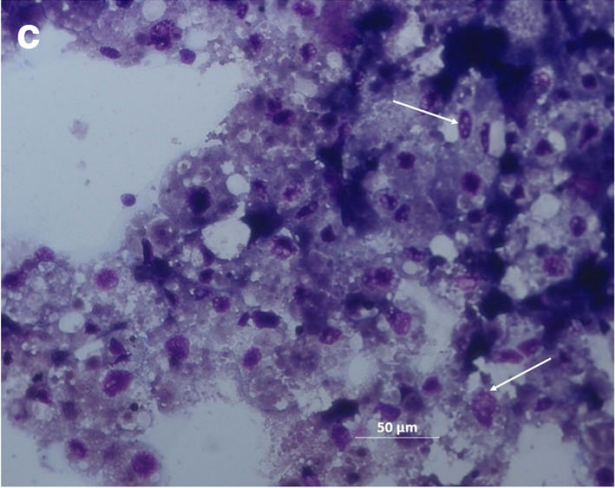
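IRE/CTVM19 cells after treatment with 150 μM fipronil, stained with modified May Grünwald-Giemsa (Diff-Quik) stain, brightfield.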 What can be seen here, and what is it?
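Cultured cells lie in a loose mass with poorly defined borders, their cytoplasm pale pinkish-purple, granular and holding scattered clear vacuoles. The oval purple nuclei vary in size, and some contain small clear spaces, making them look vacuolated. Dark purple irregular clumps of debris lie among the cells.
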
